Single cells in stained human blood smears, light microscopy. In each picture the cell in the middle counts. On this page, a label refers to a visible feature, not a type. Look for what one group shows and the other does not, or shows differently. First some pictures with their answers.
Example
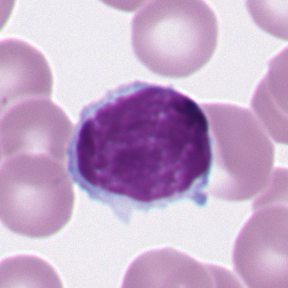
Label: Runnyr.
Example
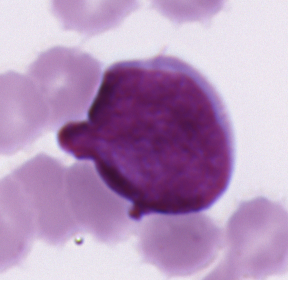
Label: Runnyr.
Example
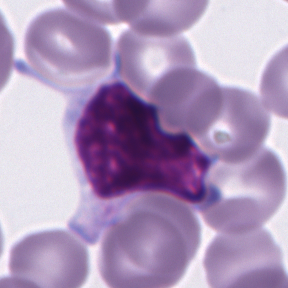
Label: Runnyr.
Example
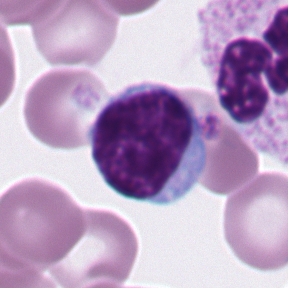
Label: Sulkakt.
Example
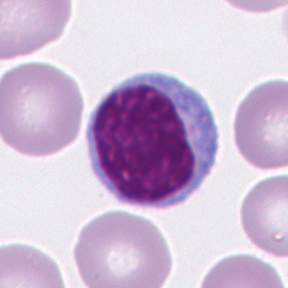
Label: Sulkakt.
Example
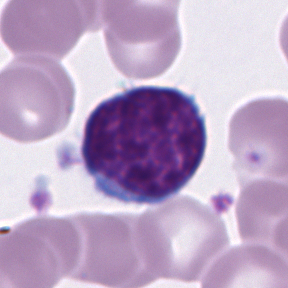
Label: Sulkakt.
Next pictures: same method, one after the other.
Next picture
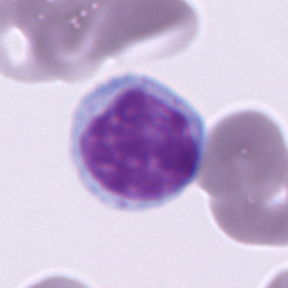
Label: Sulkakt.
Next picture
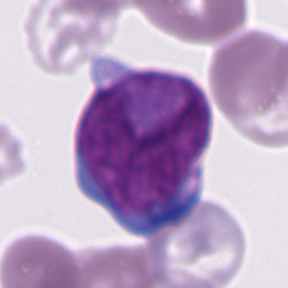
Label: Runnyr.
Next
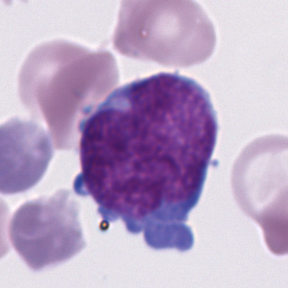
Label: Runnyr.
